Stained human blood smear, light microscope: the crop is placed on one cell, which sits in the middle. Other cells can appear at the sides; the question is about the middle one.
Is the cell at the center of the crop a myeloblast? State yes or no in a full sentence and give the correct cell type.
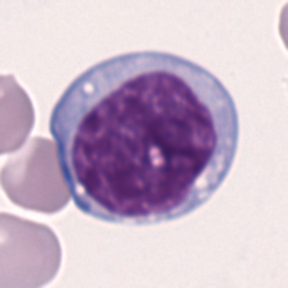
Yes, in this crop the cell in the middle is a myeloblast.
